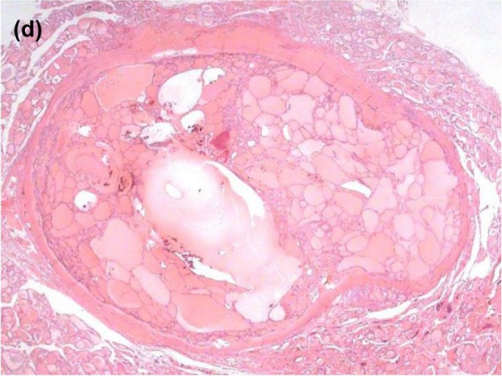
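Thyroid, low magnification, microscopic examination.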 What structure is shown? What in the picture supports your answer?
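Well-capsulated follicular tumor. A rounded nodule surrounded by a thick pink fibrous band. The nodule is filled with follicles of varied size containing pink colloid. Compressed thyroid tissue lies outside the band.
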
